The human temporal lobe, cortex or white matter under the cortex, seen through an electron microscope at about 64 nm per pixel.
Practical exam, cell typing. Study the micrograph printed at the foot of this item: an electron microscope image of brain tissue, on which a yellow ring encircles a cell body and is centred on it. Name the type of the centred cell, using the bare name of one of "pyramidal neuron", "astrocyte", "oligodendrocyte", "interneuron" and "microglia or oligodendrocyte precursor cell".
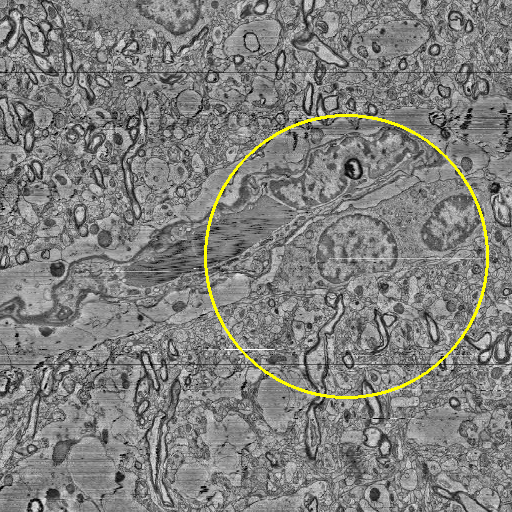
oligodendrocyte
